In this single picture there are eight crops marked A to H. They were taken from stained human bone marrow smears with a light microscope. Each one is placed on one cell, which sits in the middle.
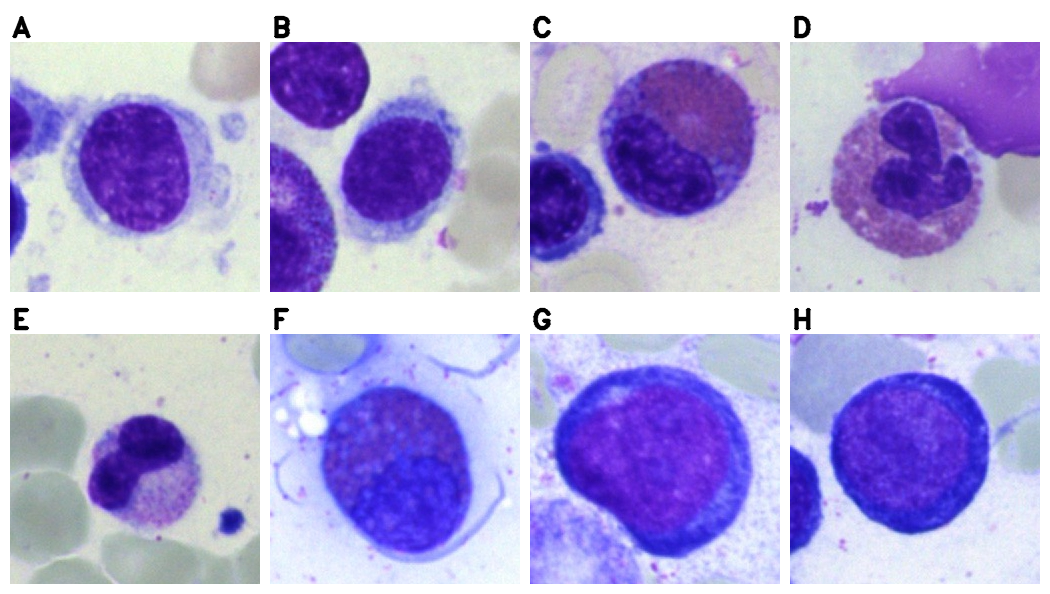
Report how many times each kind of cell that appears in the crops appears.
eosinophil: 3
hairy cell: 2
proerythroblast: 2
band neutrophil: 1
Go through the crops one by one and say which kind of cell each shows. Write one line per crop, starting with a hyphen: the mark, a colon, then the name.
- A: hairy cell
- B: hairy cell
- C: eosinophil
- D: eosinophil
- E: band neutrophil
- F: eosinophil
- G: proerythroblast
- H: proerythroblast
